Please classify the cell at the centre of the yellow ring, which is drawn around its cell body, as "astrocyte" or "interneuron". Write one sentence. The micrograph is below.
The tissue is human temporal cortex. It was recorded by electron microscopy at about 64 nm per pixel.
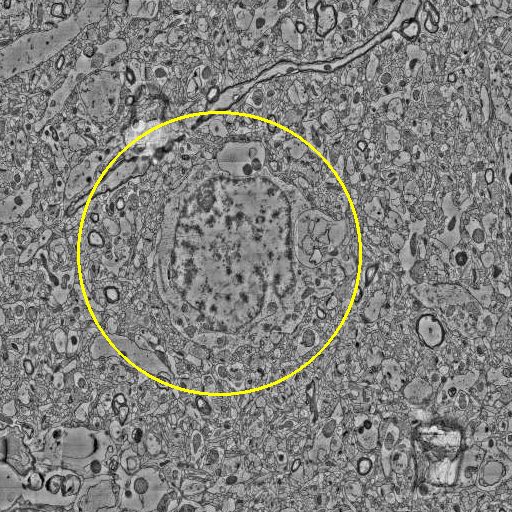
The cell at the ring's centre is classified as an interneuron.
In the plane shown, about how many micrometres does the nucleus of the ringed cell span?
About 10 by 8 micrometers for the nucleus, in this plane.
